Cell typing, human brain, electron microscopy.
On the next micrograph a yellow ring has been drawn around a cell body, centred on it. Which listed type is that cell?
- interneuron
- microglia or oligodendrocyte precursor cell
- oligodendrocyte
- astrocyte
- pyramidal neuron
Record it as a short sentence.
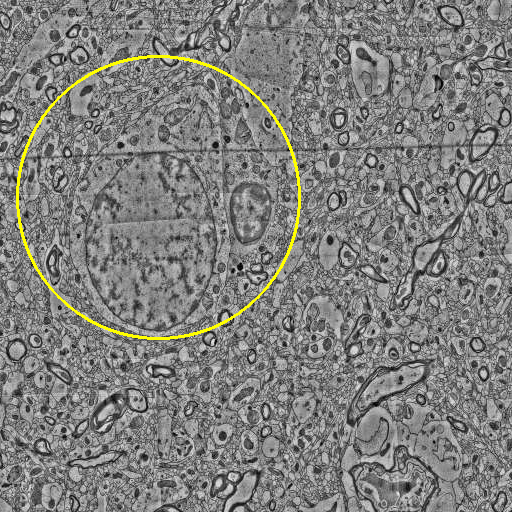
The cell body in the ring's centre belongs to a pyramidal neuron.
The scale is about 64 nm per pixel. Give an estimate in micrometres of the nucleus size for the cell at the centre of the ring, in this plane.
Approximately 11 micrometres long and 9 micrometres wide, in this plane.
